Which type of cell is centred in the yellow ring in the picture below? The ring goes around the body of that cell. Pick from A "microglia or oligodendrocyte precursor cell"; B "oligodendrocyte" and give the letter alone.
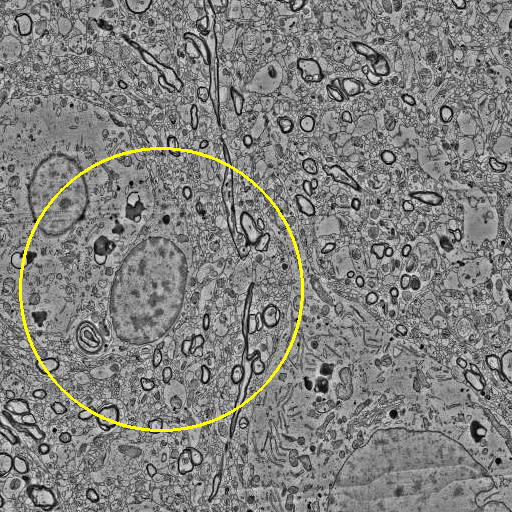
B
